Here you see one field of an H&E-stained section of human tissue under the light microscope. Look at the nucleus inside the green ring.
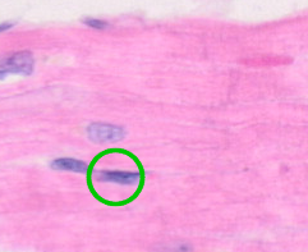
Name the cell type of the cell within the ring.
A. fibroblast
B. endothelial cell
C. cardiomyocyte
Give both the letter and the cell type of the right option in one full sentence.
In this section the cell within the ring is an endothelial cell; option B is therefore correct.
